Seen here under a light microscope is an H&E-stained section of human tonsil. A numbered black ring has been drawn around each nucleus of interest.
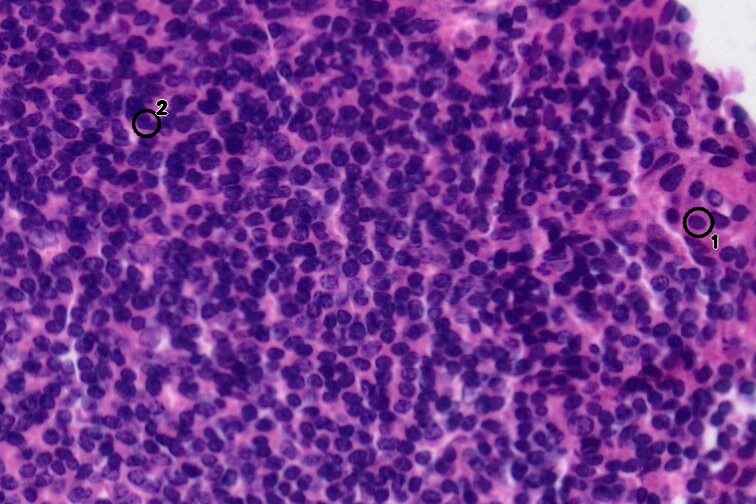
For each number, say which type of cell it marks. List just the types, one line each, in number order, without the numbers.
plasma cell
small lymphocyte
